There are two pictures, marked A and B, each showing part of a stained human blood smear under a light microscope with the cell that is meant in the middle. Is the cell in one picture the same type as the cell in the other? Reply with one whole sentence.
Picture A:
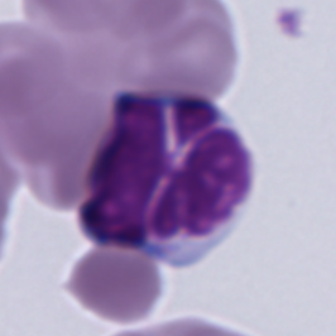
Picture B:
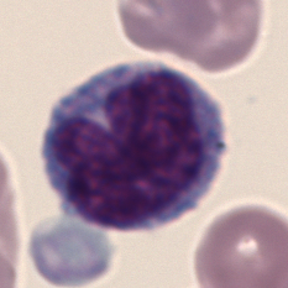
No, picture A shows a large granular lymphocyte and picture B shows a monocyte.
